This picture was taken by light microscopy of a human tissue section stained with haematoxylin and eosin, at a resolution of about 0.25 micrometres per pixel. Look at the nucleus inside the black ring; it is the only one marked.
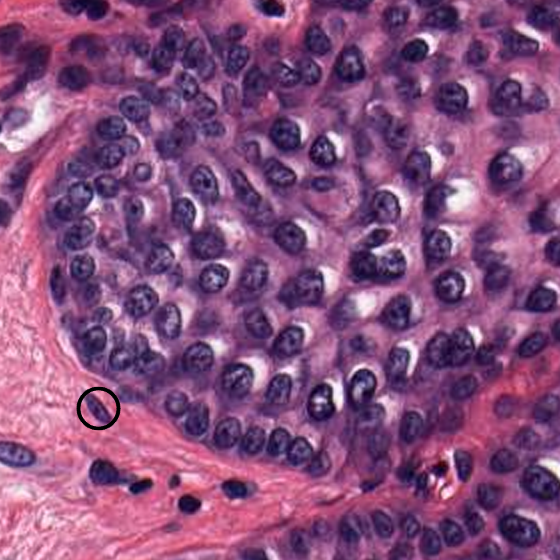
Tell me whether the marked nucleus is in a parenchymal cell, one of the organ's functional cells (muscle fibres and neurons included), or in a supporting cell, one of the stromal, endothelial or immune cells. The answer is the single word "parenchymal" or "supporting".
supporting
